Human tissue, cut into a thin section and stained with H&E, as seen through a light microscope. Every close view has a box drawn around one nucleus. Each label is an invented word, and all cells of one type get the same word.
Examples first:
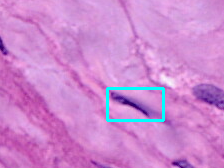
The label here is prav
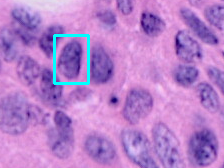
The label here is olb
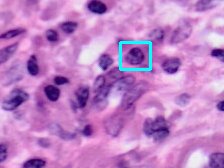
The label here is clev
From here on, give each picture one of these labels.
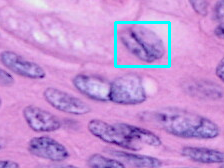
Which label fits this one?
olb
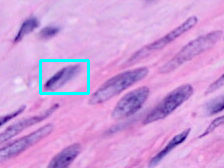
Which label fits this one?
prav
